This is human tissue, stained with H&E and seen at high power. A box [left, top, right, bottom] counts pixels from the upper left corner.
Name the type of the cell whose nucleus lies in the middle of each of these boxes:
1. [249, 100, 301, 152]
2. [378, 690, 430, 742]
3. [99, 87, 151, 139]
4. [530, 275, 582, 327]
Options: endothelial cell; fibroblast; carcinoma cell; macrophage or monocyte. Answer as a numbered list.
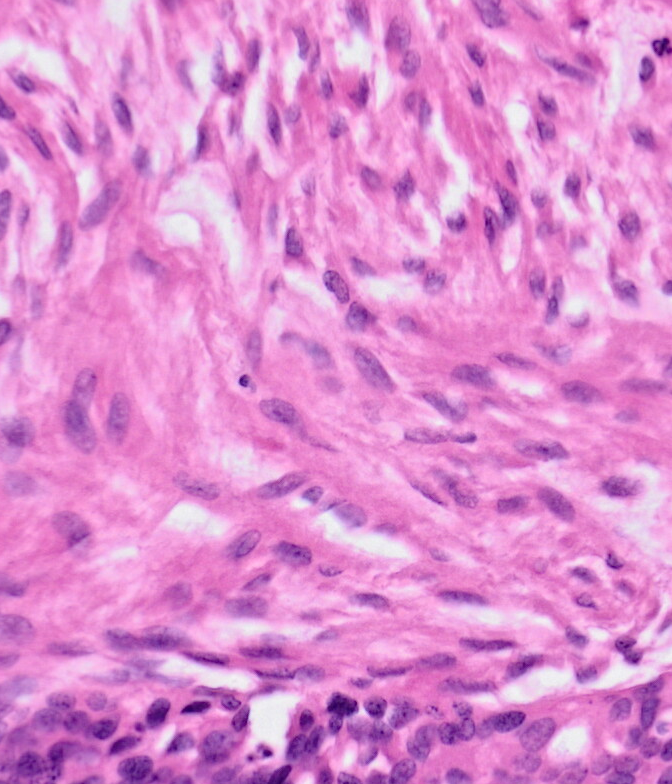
1. fibroblast
2. carcinoma cell
3. fibroblast
4. fibroblast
